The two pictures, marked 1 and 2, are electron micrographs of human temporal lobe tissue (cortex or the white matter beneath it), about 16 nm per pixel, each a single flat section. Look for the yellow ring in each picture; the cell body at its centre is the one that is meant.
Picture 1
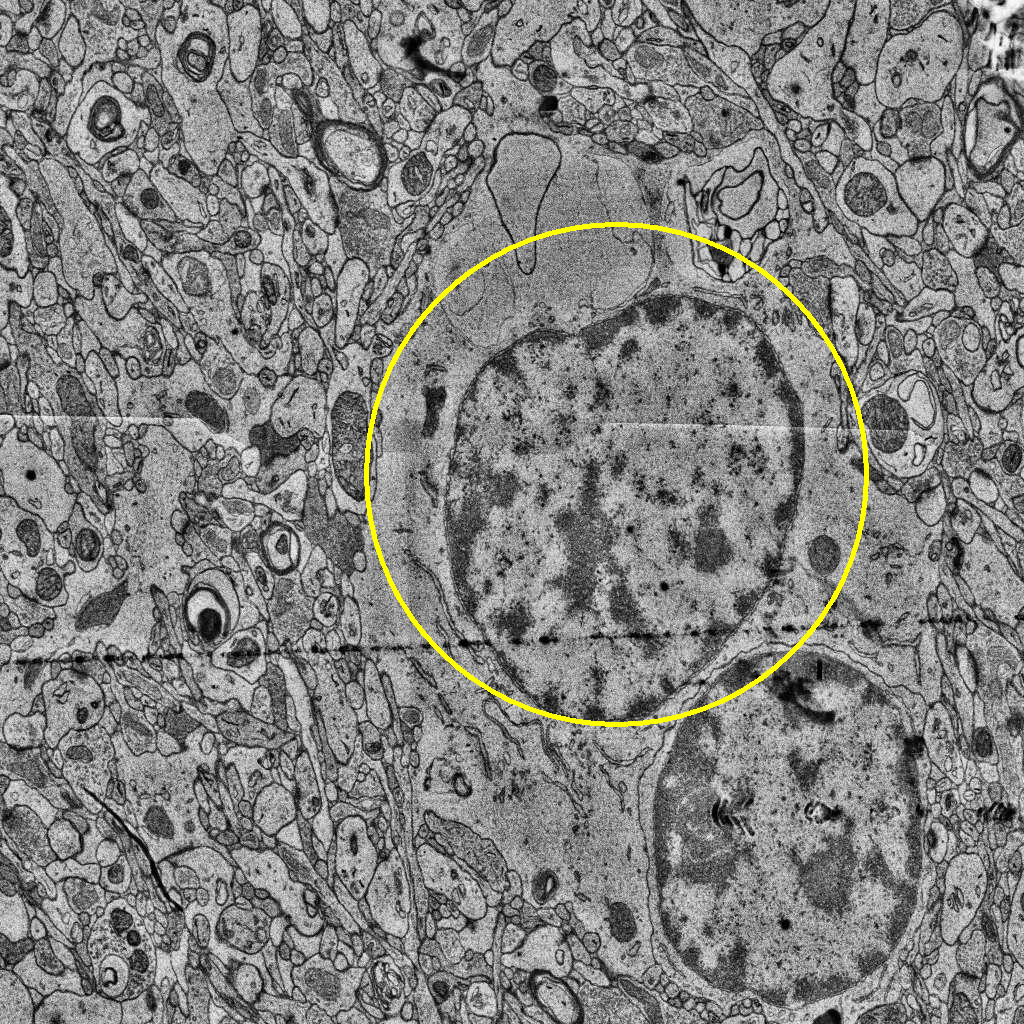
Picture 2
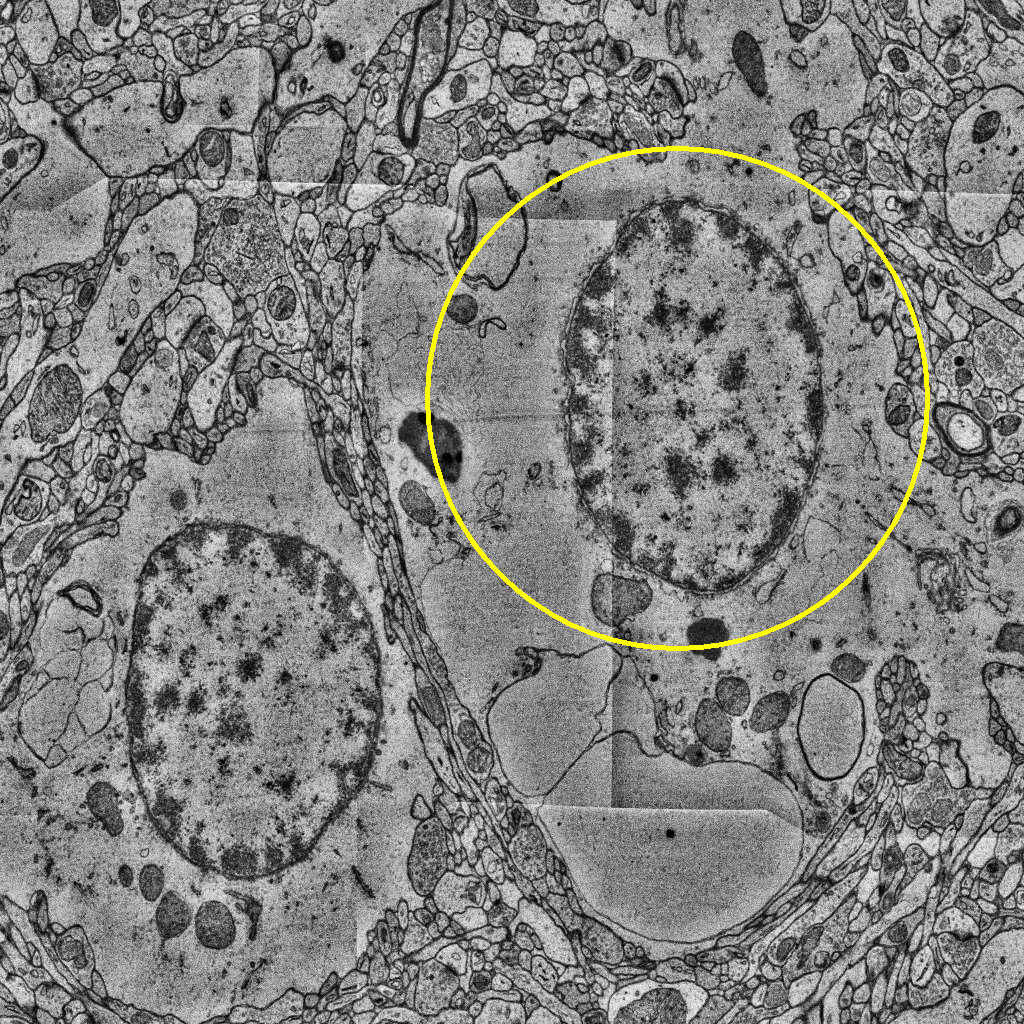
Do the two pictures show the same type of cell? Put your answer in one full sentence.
Yes; the cells in both pictures are astrocytes.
